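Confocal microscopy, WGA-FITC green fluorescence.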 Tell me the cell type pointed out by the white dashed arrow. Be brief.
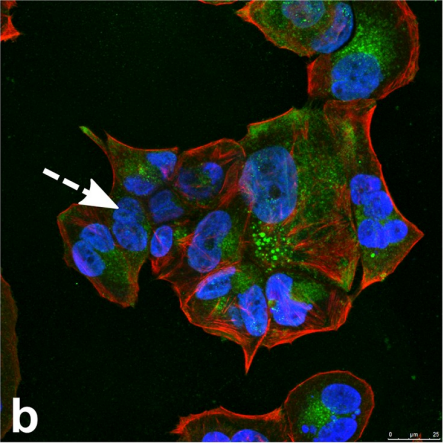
Giant cells with multiple nuclei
